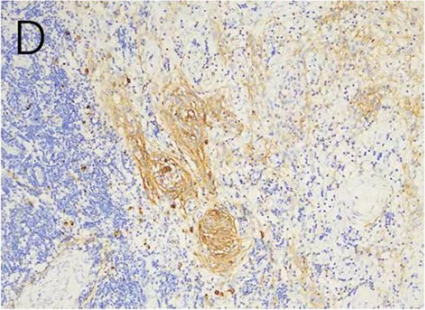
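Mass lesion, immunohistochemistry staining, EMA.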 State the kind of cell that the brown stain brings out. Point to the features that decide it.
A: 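Brown stain outlines rounded, whorled nests of cells. The surrounding small round cells stay blue and unstained.
Conclusion: Neoplastic cells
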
